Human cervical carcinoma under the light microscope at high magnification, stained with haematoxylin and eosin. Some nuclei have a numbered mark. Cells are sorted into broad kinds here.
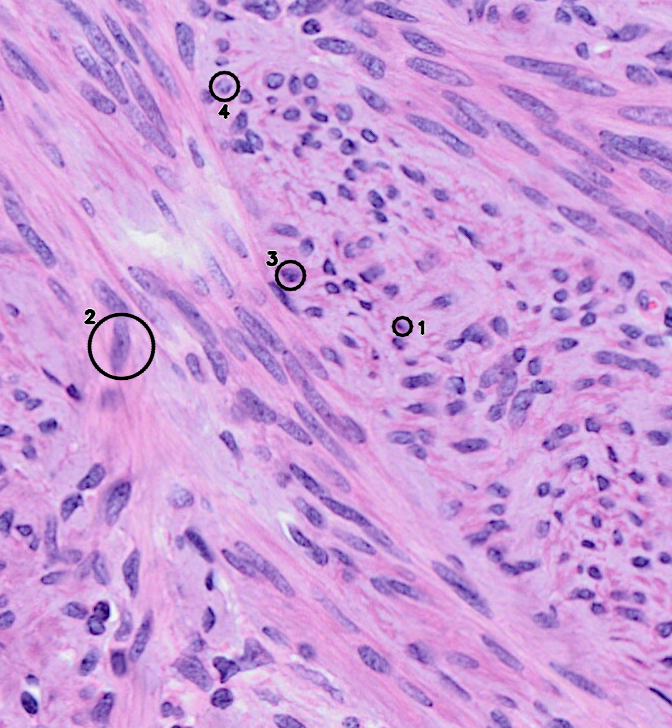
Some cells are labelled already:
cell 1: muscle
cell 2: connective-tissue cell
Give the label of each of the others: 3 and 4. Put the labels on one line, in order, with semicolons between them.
muscle; muscle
